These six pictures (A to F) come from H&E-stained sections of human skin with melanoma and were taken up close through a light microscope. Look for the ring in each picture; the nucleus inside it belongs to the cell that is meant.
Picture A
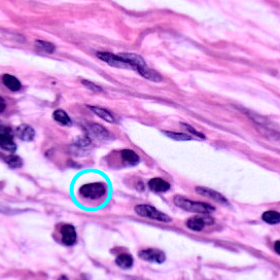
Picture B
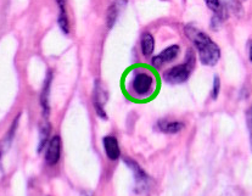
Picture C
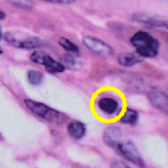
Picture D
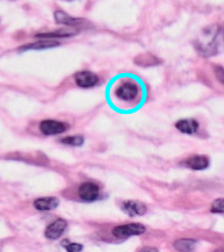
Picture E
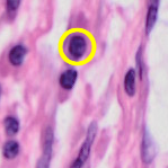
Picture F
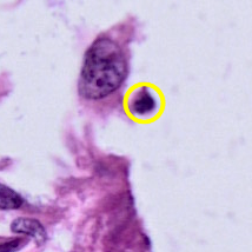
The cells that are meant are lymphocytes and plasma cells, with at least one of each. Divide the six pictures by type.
A: plasma cell
B: plasma cell
C: lymphocyte
D: plasma cell
E: plasma cell
F: lymphocyte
